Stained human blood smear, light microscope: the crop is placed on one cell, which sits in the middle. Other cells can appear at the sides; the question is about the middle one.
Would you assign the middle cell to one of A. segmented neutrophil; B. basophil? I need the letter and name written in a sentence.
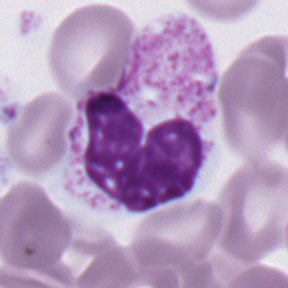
For this crop, option A is right, the centered cell being a segmented neutrophil.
